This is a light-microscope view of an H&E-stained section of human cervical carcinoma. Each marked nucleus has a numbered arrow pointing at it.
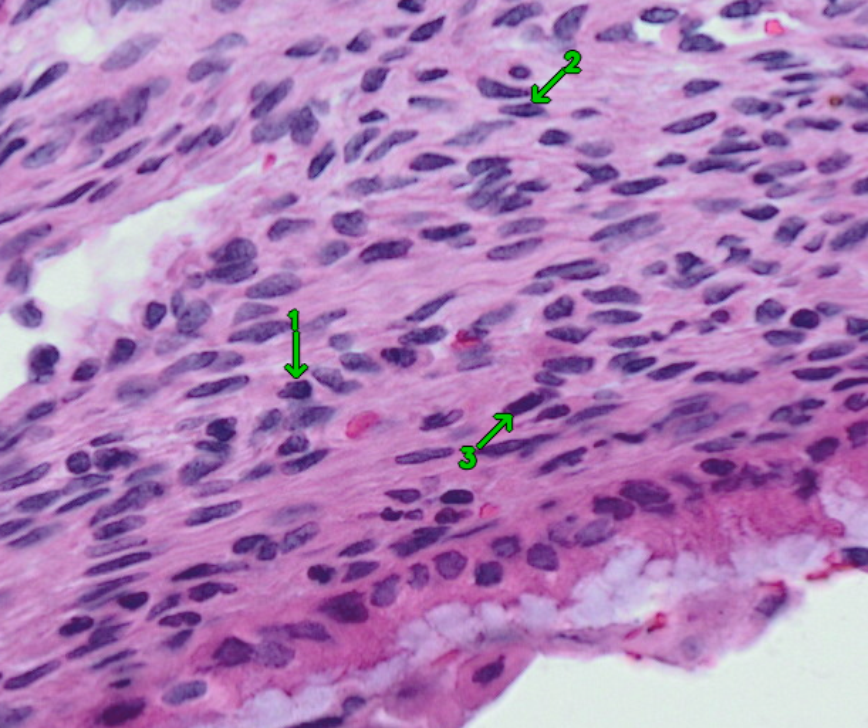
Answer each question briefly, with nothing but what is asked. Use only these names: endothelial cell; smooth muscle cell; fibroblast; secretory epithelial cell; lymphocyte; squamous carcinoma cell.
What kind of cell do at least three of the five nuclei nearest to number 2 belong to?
fibroblast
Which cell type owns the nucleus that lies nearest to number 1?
fibroblast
